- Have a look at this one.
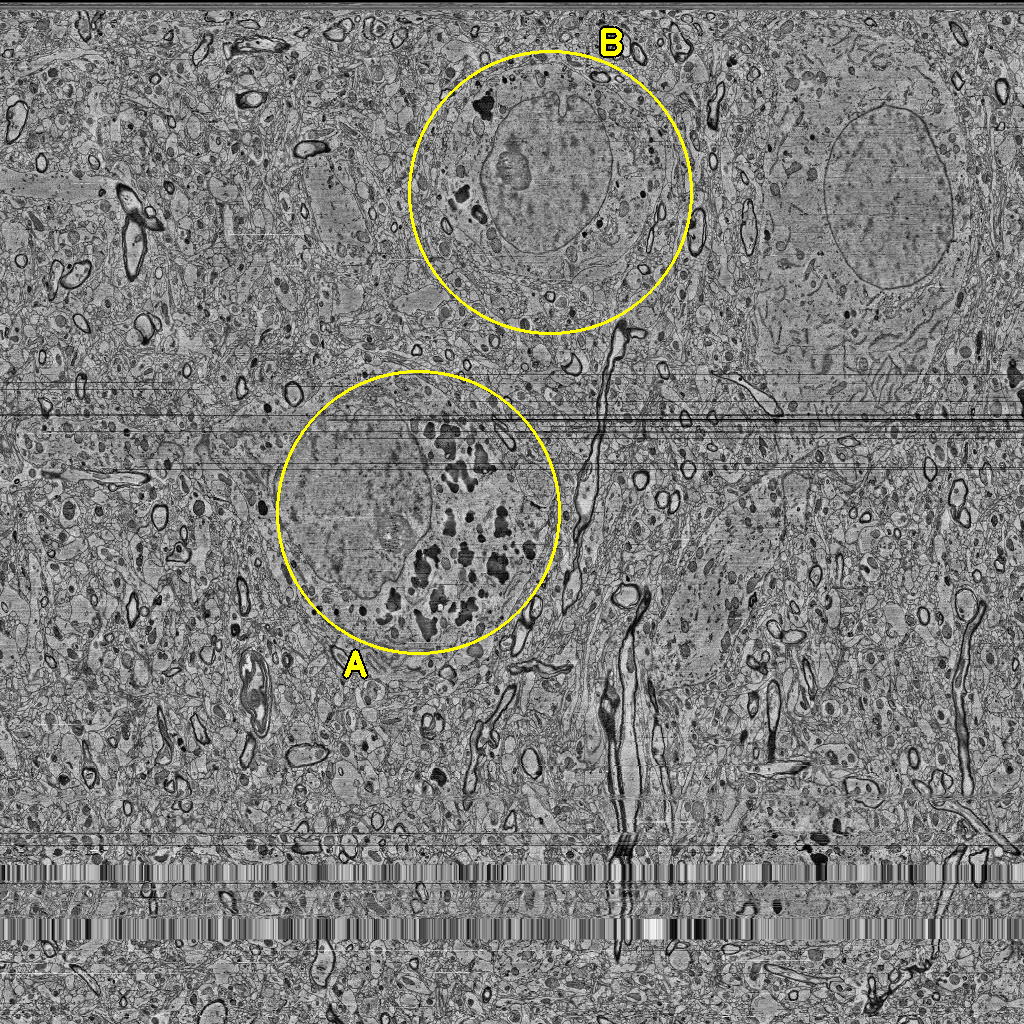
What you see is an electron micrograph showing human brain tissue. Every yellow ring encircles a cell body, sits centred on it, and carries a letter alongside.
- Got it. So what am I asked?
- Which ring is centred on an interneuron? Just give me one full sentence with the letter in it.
The cell asked for sits in the centre of the ring lettered A.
